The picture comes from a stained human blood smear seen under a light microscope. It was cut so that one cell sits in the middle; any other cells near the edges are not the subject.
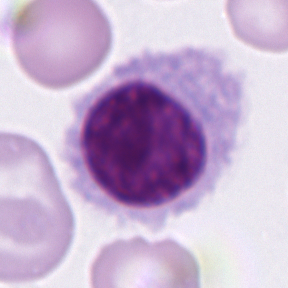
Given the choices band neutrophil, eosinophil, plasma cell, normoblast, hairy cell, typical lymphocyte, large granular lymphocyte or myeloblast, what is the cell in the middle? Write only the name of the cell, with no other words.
hairy cell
